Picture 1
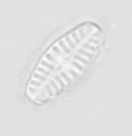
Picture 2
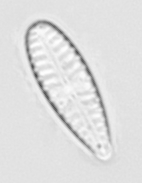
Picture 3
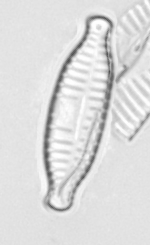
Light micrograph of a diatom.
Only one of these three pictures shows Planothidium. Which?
Picture 1.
